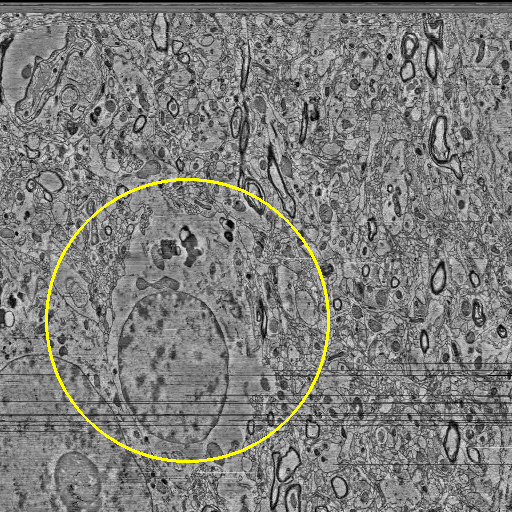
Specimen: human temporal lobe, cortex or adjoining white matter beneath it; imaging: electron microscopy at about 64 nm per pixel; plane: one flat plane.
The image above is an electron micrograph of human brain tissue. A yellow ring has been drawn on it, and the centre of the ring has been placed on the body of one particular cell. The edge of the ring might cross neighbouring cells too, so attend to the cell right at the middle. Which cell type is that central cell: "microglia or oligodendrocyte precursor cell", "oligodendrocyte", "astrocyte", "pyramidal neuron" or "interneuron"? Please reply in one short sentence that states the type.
The central cell in the ring is an astrocyte.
